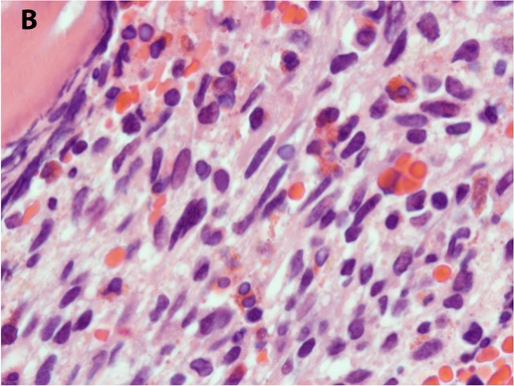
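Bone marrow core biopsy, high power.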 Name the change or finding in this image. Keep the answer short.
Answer: marked spindle cell morphology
